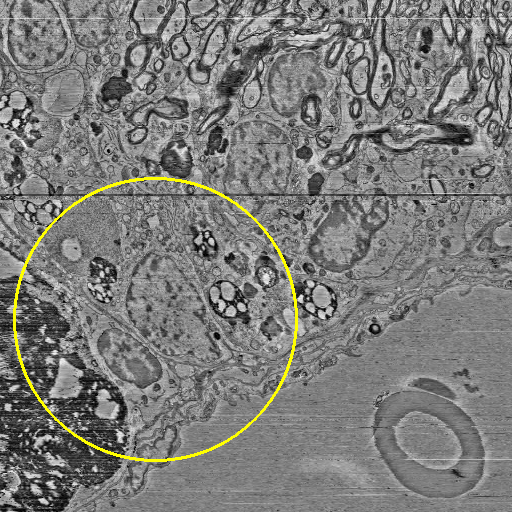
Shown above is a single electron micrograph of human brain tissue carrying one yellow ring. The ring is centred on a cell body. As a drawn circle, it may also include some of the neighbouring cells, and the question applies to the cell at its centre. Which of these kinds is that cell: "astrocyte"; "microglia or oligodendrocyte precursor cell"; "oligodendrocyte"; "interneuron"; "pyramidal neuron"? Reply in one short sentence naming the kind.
The cell marked by the ring is an astrocyte.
